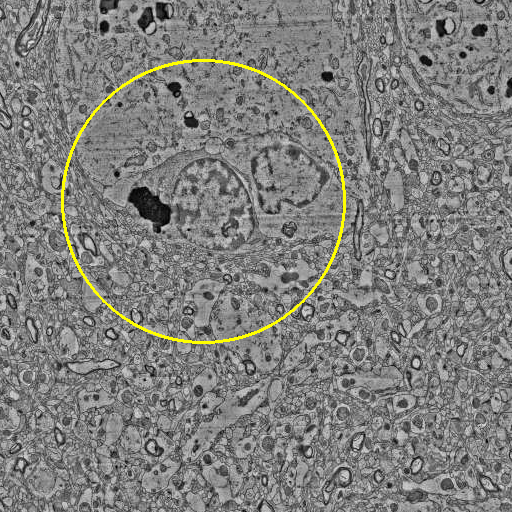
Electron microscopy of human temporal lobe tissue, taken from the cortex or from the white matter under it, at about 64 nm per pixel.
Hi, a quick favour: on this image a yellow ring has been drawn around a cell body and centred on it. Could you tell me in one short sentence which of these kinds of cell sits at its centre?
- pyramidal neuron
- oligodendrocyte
The ring is centred on an oligodendrocyte.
